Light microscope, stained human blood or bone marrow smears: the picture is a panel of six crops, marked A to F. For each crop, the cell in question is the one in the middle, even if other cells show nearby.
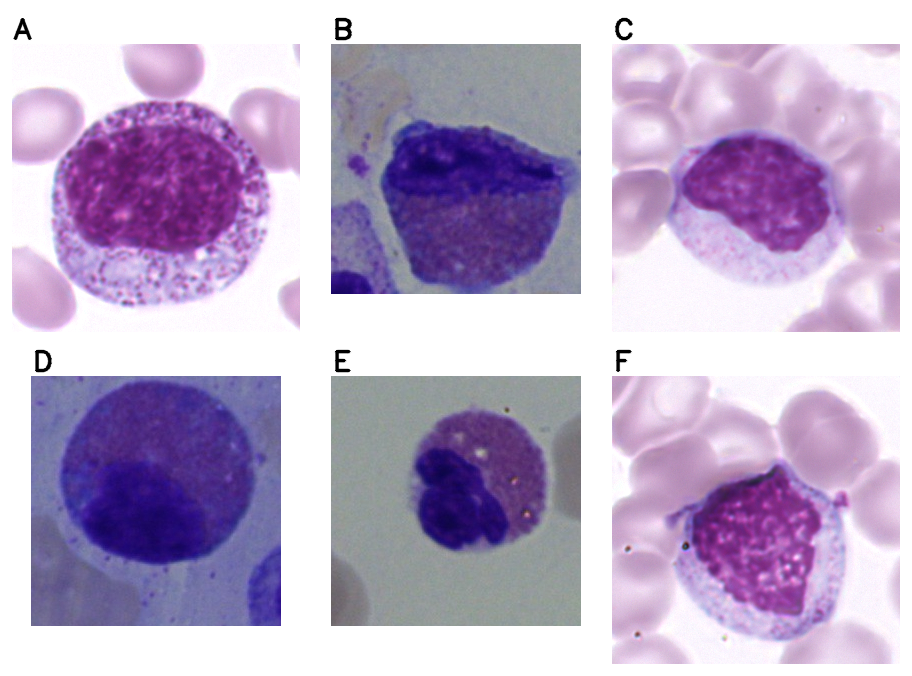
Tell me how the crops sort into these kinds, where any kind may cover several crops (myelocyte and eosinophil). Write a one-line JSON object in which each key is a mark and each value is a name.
{"A": "myelocyte", "B": "eosinophil", "C": "myelocyte", "D": "eosinophil", "E": "eosinophil", "F": "myelocyte"}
